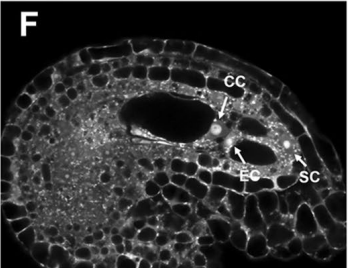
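The sac contains large black vacuoles. At one end lie several cells with round nuclei showing bright white nucleoli, including a larger nucleus next to the vacuoles.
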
